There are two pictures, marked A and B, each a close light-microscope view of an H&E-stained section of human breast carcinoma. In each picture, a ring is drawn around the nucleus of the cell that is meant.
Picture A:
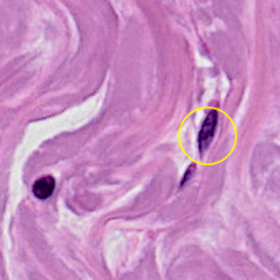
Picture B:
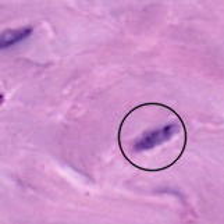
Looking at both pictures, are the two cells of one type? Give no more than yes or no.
yes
